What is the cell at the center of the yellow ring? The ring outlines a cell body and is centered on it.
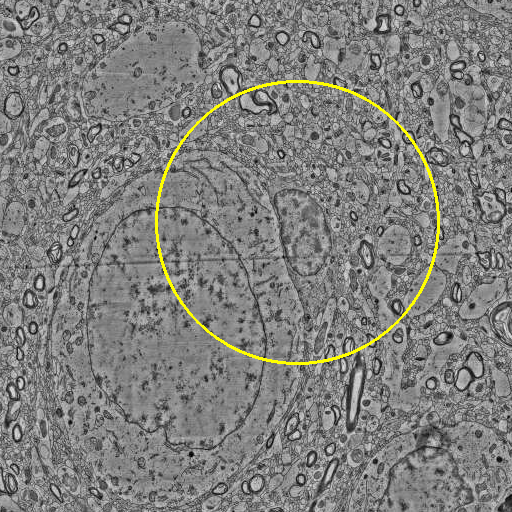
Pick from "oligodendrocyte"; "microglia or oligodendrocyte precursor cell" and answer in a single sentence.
The yellow ring is centered on an oligodendrocyte.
